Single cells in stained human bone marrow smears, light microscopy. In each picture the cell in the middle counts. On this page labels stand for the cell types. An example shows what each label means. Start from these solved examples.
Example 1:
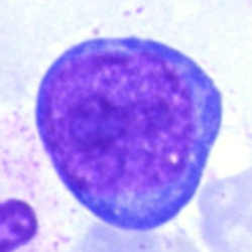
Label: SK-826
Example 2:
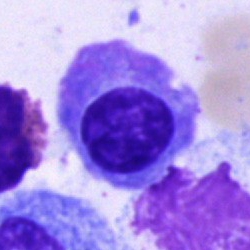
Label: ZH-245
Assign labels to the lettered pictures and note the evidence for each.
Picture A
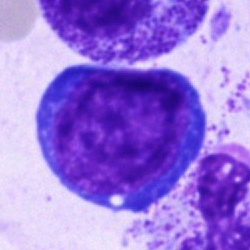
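Label: SK-826. The cytoplasm forms a narrow rim around the nucleus.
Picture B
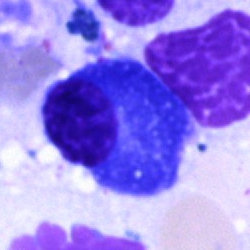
Label: ZH-245. The cytoplasm is abundant and stains a deep blue.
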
